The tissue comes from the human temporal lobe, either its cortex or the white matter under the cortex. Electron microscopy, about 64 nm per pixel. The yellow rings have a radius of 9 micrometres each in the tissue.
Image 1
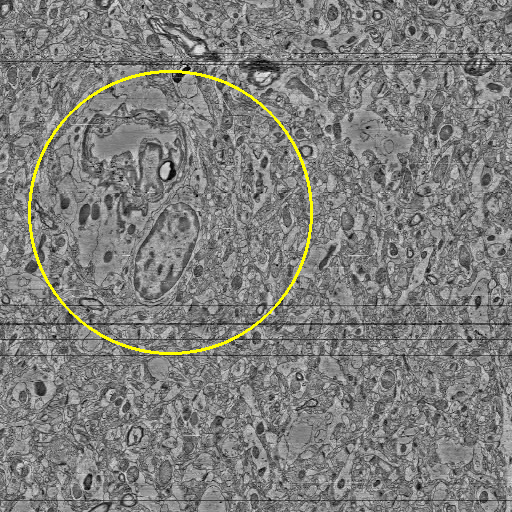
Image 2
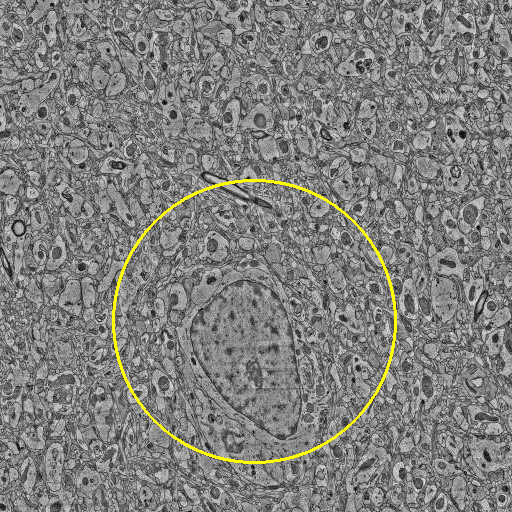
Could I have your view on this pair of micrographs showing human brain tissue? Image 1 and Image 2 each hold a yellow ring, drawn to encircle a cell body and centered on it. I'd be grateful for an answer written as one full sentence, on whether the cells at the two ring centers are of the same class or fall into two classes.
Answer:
The cells at the centers of the two rings are of the same class.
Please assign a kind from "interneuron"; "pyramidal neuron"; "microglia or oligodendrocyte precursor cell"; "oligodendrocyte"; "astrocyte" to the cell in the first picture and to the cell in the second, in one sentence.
Each cell at the centre of a ring is a microglial cell or oligodendrocyte precursor cell.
